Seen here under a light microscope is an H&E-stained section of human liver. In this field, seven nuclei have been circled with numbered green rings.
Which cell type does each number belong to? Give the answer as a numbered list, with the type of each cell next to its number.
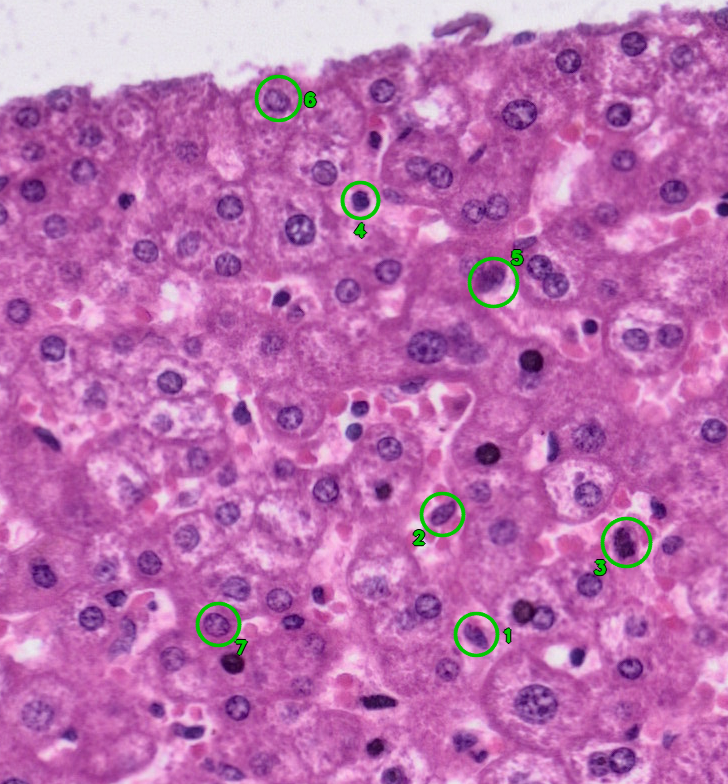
1. Kupffer cell
2. Kupffer cell
3. Kupffer cell
4. lymphocyte
5. endothelial cell
6. hepatocyte
7. hepatocyte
